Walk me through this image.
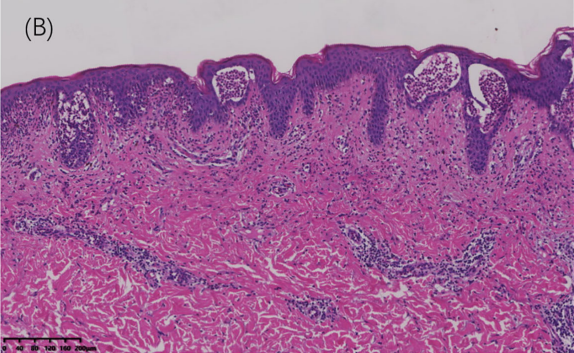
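Skin with several rounded blisters in the upper epidermis, each filled with small, densely packed inflammatory cells. The epidermis is covered by a thin pink cornified layer, and rete ridges extend into the dermis. The pink dermis beneath holds bands of purple inflammatory cells around vessels.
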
